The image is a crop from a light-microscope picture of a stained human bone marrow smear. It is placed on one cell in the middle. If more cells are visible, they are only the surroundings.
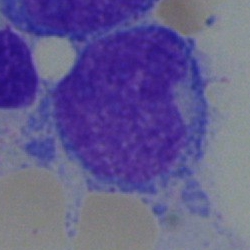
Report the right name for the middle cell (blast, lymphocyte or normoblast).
blast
